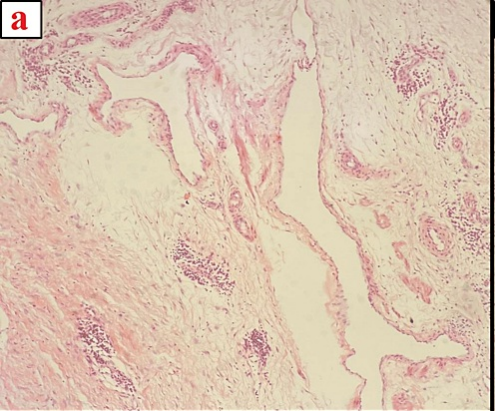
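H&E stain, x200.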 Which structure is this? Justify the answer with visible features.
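Irregular dilated lymphatic channels. Large, irregularly shaped empty spaces run through the stroma. The spaces are lined by a thin layer of flattened cells. Small dark clusters of lymphocytes lie in the surrounding stroma.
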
